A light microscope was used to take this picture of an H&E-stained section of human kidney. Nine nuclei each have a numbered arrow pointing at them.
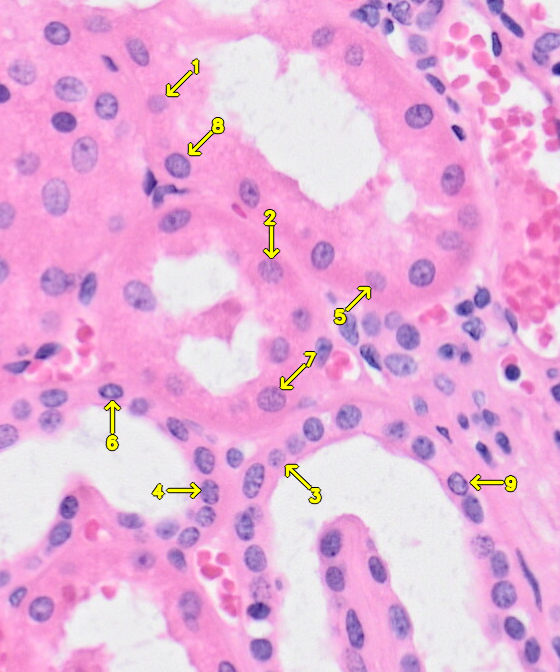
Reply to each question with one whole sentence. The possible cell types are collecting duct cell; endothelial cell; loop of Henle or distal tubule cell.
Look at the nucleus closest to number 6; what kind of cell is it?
It is a collecting duct cell whose nucleus is nearest to number 6.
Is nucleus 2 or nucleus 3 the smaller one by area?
Nucleus 3 covers less area, with nucleus 2 about 1.5 times as large.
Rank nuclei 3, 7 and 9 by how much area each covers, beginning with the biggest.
From largest to smallest, the order is 7, 9, 3.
